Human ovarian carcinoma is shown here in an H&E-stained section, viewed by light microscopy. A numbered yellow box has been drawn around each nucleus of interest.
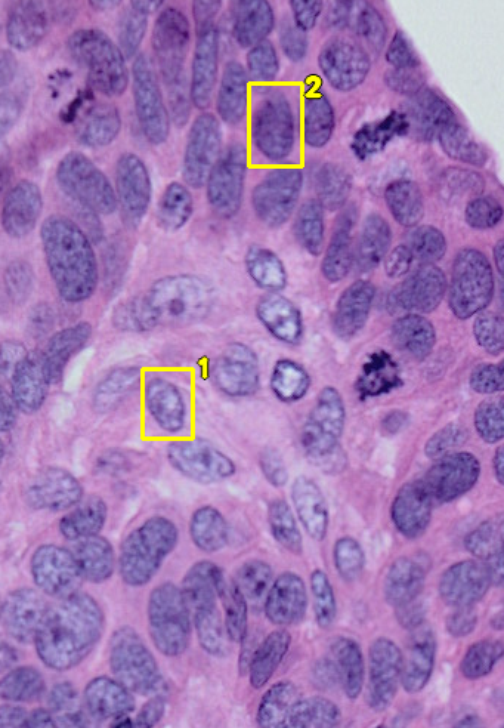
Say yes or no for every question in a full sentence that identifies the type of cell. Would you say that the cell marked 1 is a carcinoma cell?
No, cell 1 is a fibroblast, not a carcinoma cell.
